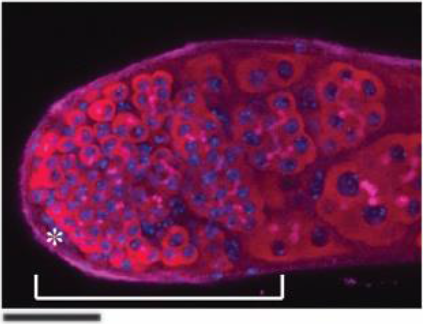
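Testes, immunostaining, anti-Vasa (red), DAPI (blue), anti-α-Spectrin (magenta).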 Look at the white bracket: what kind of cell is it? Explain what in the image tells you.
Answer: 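The bracket spans the apical region packed with small cells. Further from the tip the cells become larger and fewer. The answer: early-stage germ cells.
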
